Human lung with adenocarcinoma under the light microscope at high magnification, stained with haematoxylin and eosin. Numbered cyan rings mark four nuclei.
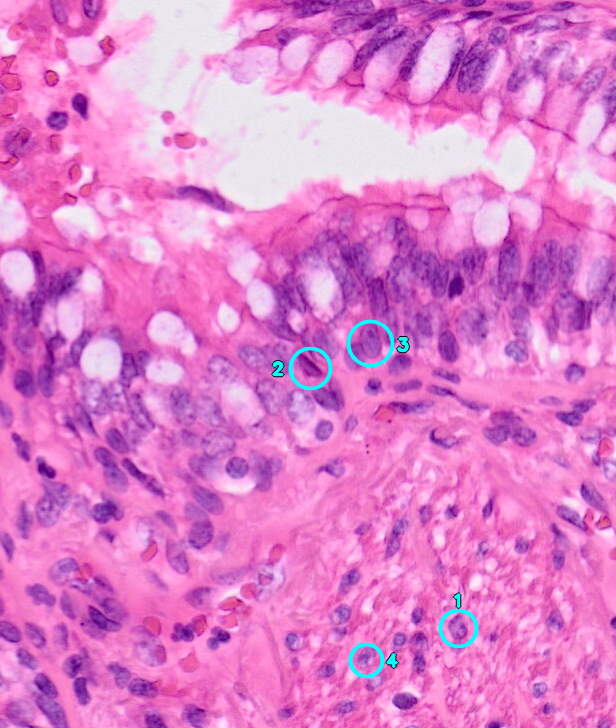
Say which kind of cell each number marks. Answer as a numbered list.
1. mast cell
2. ciliated epithelial cell
3. ciliated epithelial cell
4. smooth muscle cell or pericyte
